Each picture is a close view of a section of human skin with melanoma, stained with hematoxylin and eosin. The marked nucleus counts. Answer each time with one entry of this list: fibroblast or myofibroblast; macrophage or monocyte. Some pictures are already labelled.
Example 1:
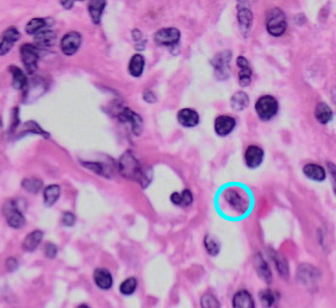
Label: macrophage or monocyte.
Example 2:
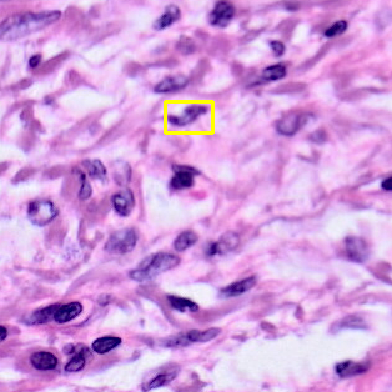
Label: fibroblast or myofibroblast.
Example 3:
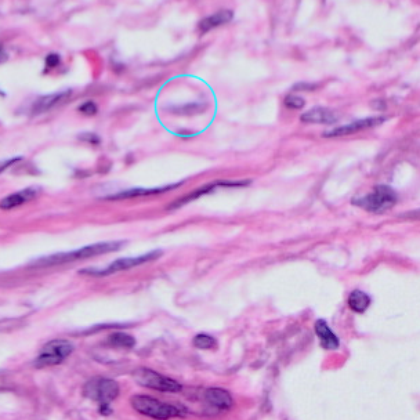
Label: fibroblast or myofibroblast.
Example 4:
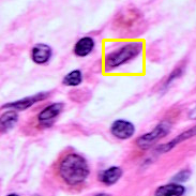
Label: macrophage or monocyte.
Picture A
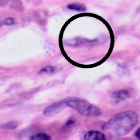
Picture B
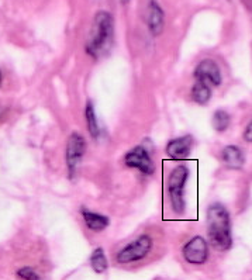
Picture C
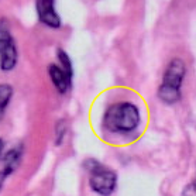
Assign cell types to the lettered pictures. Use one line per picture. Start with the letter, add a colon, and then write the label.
A: fibroblast or myofibroblast.
B: macrophage or monocyte.
C: macrophage or monocyte.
